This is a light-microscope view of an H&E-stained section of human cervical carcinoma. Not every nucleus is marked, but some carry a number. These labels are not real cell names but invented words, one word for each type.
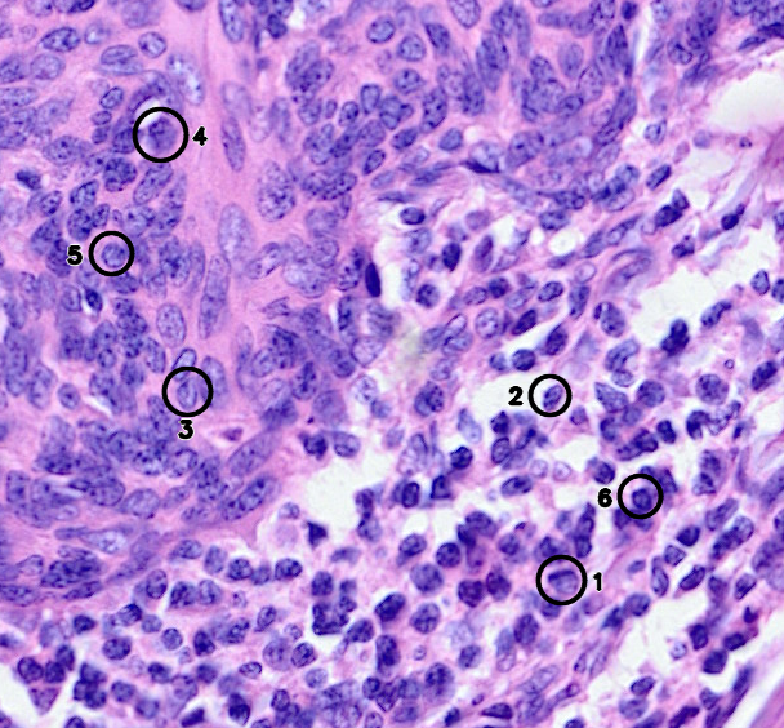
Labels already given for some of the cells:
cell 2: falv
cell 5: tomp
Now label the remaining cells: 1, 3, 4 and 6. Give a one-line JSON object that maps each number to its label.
{"1": "falv", "3": "tomp", "4": "tomp", "6": "falv"}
